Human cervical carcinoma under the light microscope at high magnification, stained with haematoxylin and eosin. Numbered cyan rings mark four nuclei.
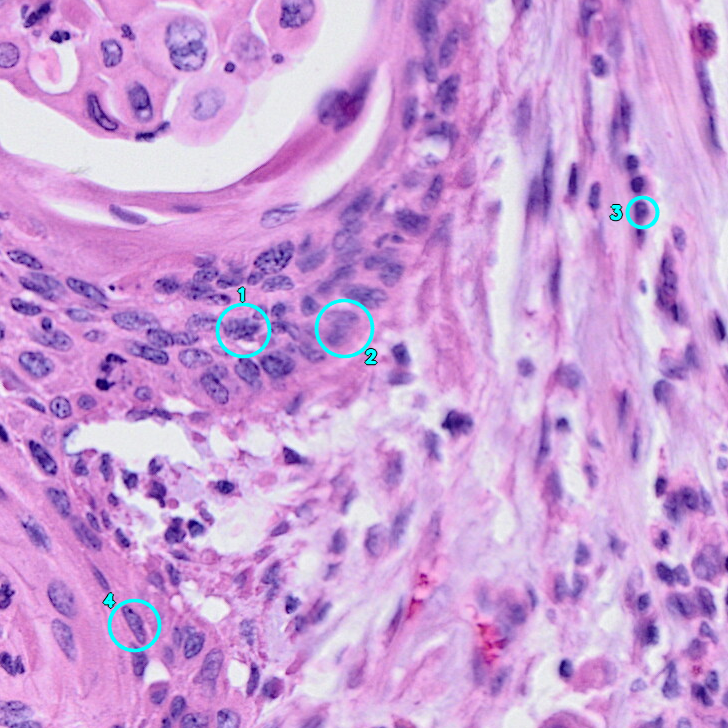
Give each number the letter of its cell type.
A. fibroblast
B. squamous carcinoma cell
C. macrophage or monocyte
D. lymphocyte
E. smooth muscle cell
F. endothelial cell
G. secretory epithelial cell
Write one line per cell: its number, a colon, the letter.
1: B
2: B
3: D
4: B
